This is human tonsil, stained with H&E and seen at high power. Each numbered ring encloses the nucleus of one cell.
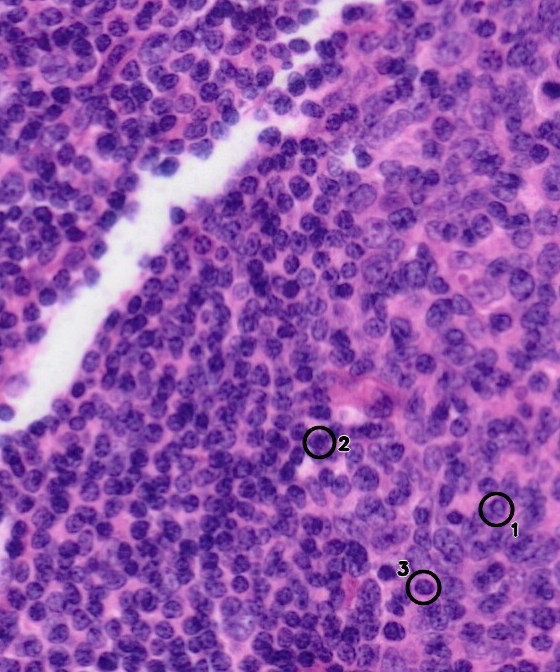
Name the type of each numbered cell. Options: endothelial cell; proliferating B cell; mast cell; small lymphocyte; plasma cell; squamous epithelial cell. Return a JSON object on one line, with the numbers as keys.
{"1": "proliferating B cell", "2": "small lymphocyte", "3": "proliferating B cell"}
